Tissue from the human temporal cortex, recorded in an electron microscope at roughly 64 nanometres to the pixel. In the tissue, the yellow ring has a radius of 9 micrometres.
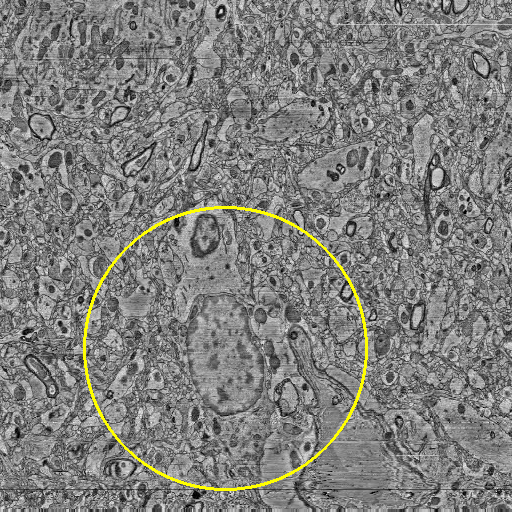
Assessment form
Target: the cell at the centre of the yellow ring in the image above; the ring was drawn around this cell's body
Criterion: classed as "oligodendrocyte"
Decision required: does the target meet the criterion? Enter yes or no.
yes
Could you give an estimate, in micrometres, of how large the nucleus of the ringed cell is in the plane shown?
In this plane, roughly 8 by 5 micrometres.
